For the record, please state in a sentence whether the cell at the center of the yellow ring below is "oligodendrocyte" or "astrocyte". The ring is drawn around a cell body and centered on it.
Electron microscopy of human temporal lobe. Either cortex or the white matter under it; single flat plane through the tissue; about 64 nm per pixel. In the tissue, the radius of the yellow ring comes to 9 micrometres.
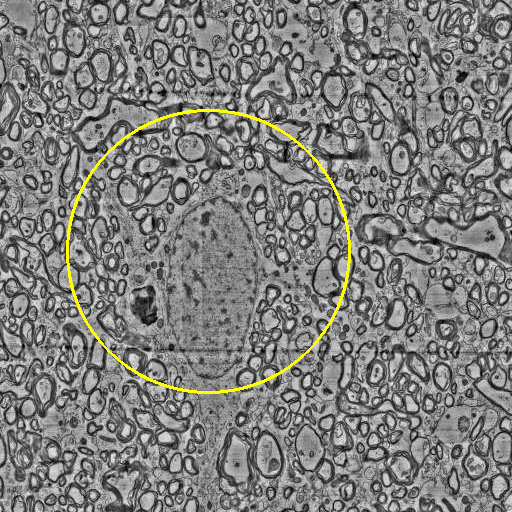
The cell at the ring's center is an astrocyte.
